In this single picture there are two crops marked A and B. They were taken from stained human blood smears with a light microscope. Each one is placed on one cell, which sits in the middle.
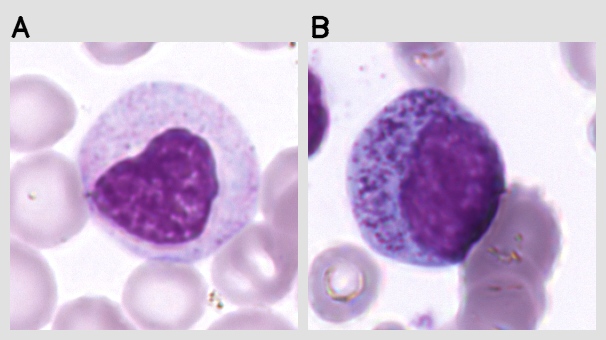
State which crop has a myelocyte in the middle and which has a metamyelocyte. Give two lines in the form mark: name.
A: metamyelocyte
B: myelocyte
